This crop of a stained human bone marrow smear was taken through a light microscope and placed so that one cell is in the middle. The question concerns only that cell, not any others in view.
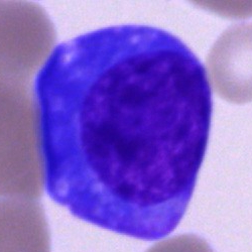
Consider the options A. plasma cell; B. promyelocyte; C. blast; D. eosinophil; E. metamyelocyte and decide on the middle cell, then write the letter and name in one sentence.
Option A is correct in naming the middle cell a plasma cell.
